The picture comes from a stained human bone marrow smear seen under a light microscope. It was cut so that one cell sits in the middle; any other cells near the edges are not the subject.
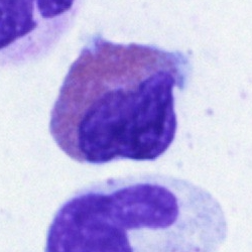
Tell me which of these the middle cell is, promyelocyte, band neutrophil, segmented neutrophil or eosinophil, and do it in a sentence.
For this crop, the central cell is an eosinophil.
